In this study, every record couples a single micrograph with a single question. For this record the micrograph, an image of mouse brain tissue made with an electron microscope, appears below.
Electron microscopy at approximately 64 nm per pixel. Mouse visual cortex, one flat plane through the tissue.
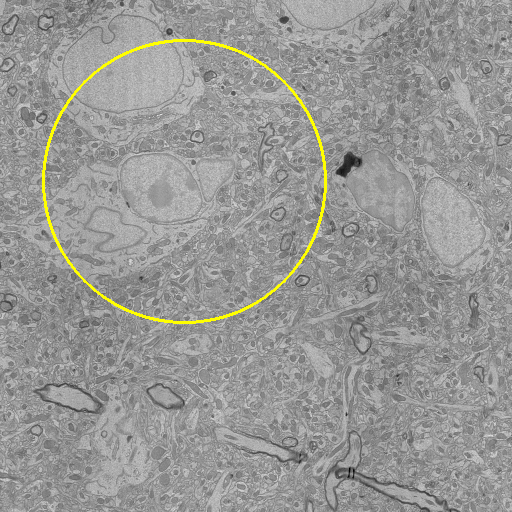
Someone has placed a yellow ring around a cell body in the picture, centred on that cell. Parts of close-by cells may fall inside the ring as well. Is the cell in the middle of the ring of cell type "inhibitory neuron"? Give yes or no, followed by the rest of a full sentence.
No, the cell centred in the ring shown in the picture has a different cell type.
